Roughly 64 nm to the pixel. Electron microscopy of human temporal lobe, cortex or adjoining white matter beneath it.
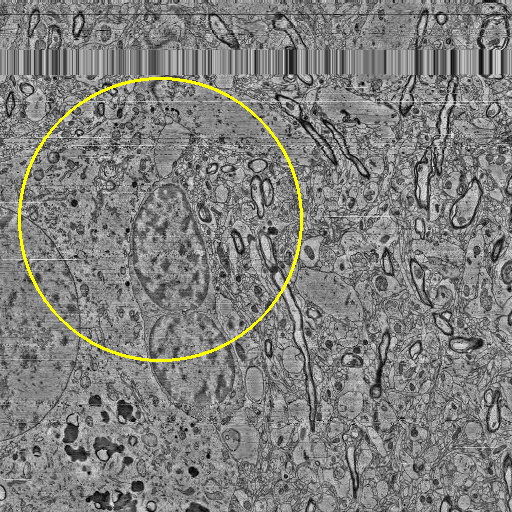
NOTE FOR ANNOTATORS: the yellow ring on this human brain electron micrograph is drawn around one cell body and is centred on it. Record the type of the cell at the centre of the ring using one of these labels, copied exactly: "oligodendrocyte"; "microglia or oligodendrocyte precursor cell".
oligodendrocyte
